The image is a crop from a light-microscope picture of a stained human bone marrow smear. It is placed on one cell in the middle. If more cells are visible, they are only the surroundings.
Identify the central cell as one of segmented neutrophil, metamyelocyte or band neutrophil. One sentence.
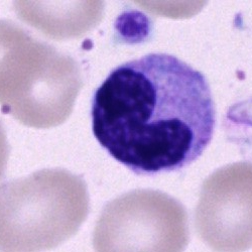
Looking at the middle of the crop, the cell there is a band neutrophil.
